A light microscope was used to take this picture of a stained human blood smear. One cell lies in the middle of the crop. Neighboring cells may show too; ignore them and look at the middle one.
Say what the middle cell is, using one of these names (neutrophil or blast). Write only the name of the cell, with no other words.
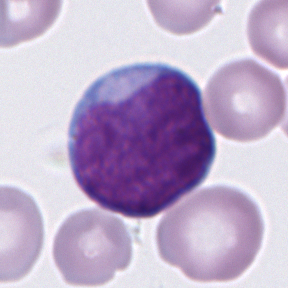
blast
